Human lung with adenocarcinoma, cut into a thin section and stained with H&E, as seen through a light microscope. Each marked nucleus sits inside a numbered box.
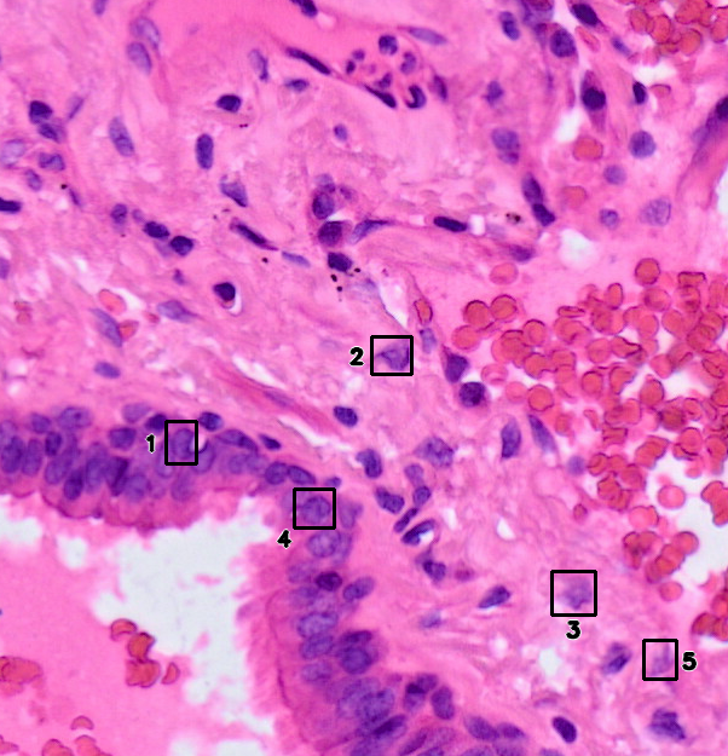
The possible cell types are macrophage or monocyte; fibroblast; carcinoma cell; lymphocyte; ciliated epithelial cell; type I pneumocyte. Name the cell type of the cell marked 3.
fibroblast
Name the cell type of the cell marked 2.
fibroblast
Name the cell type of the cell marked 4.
ciliated epithelial cell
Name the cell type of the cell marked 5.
fibroblast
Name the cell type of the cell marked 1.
ciliated epithelial cell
